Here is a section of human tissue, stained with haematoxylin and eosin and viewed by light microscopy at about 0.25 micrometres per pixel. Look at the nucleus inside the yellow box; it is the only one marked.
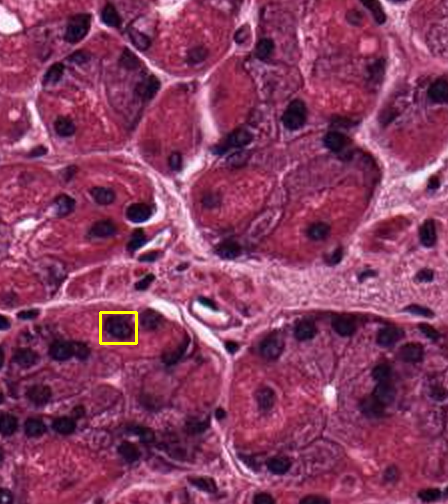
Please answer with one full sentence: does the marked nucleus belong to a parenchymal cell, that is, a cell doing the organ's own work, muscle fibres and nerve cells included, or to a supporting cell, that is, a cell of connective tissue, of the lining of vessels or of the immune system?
The marked nucleus is assigned to a parenchymal cell, namely a parietal cell.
